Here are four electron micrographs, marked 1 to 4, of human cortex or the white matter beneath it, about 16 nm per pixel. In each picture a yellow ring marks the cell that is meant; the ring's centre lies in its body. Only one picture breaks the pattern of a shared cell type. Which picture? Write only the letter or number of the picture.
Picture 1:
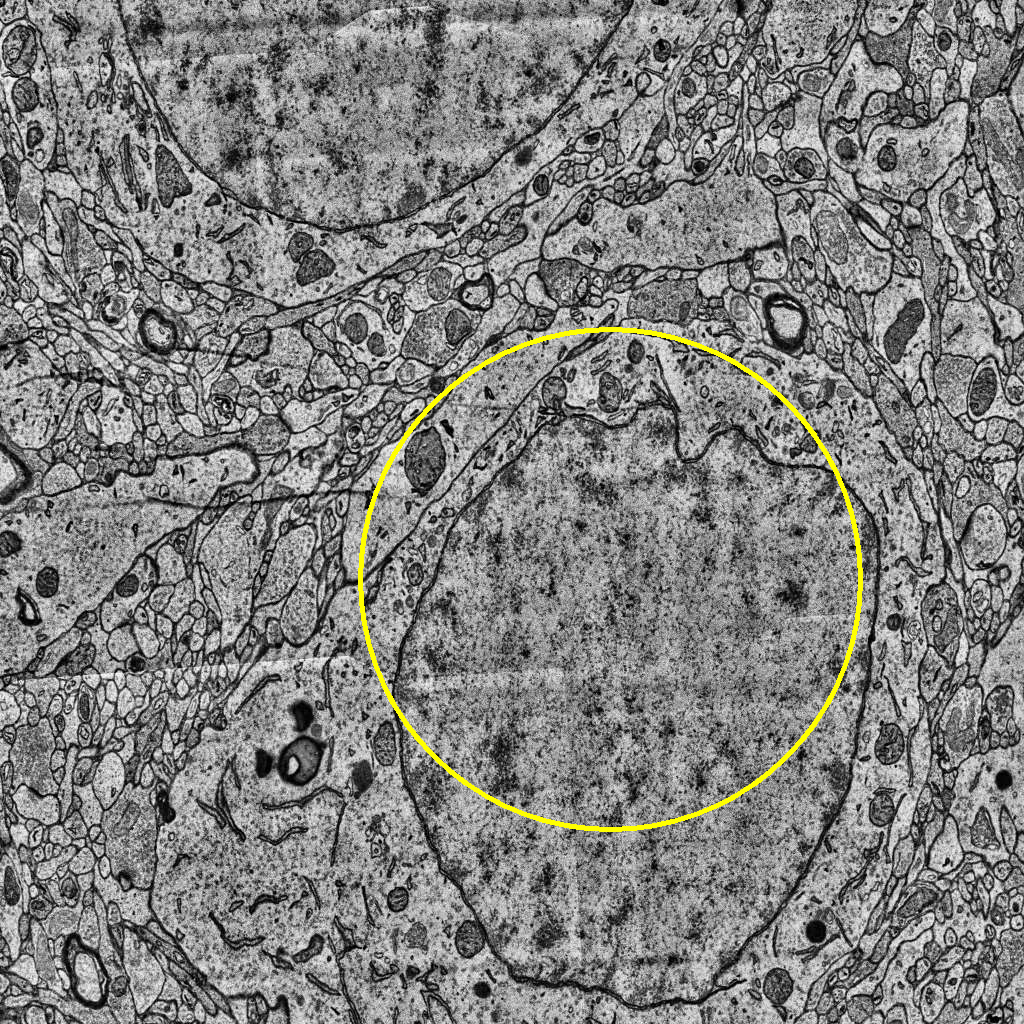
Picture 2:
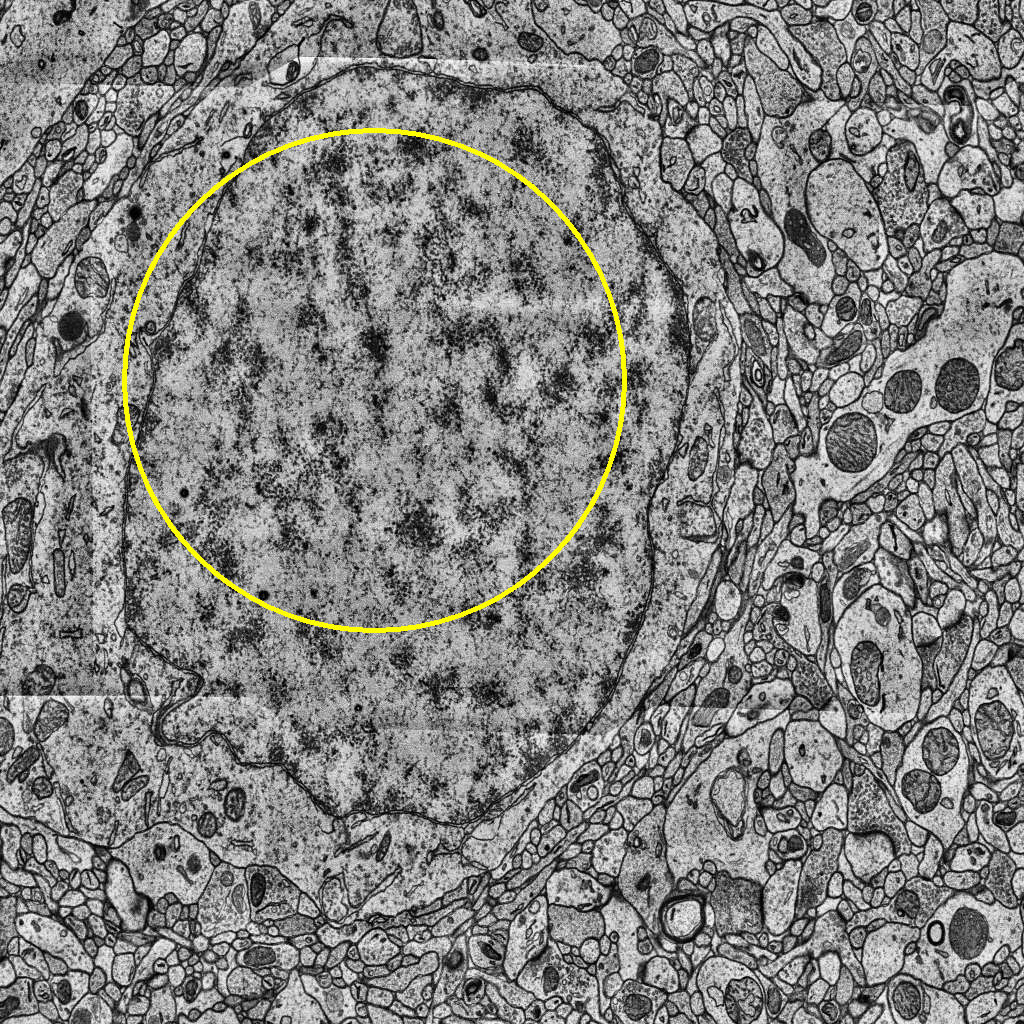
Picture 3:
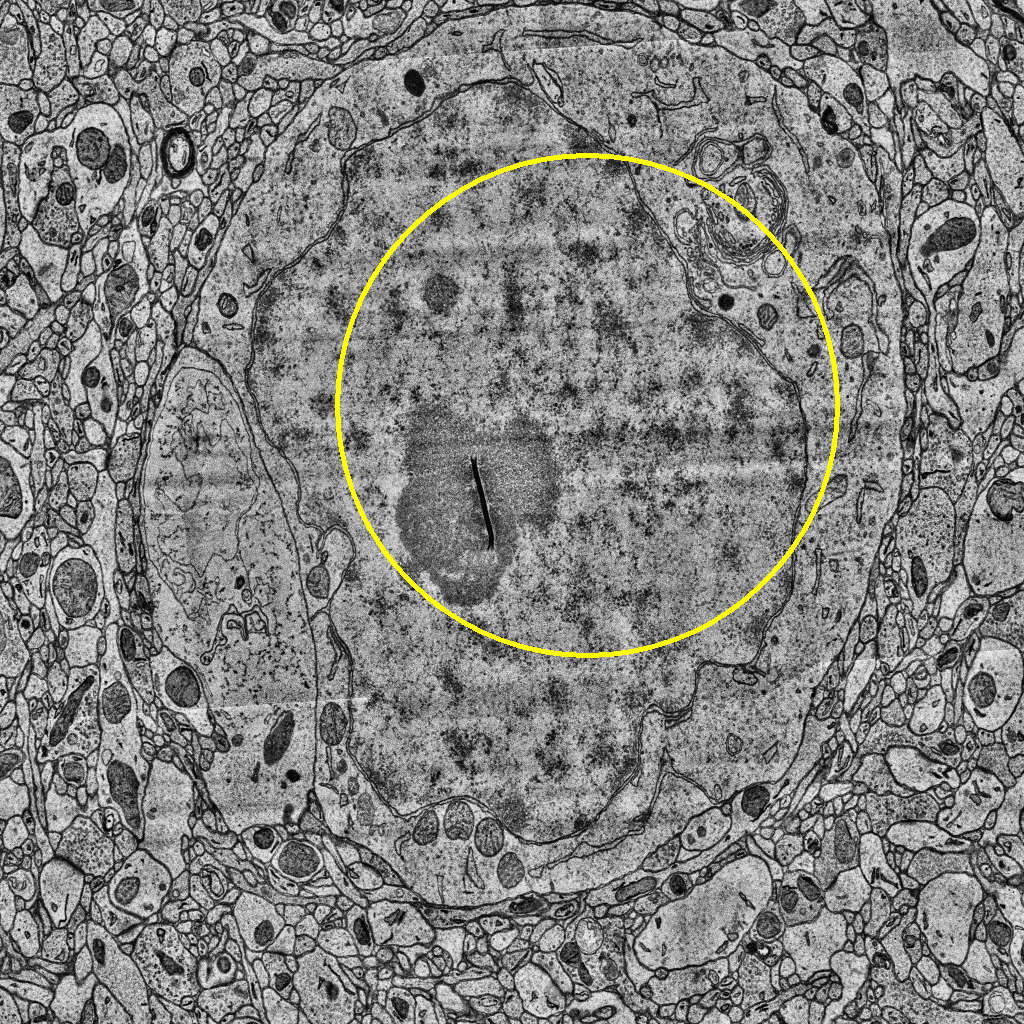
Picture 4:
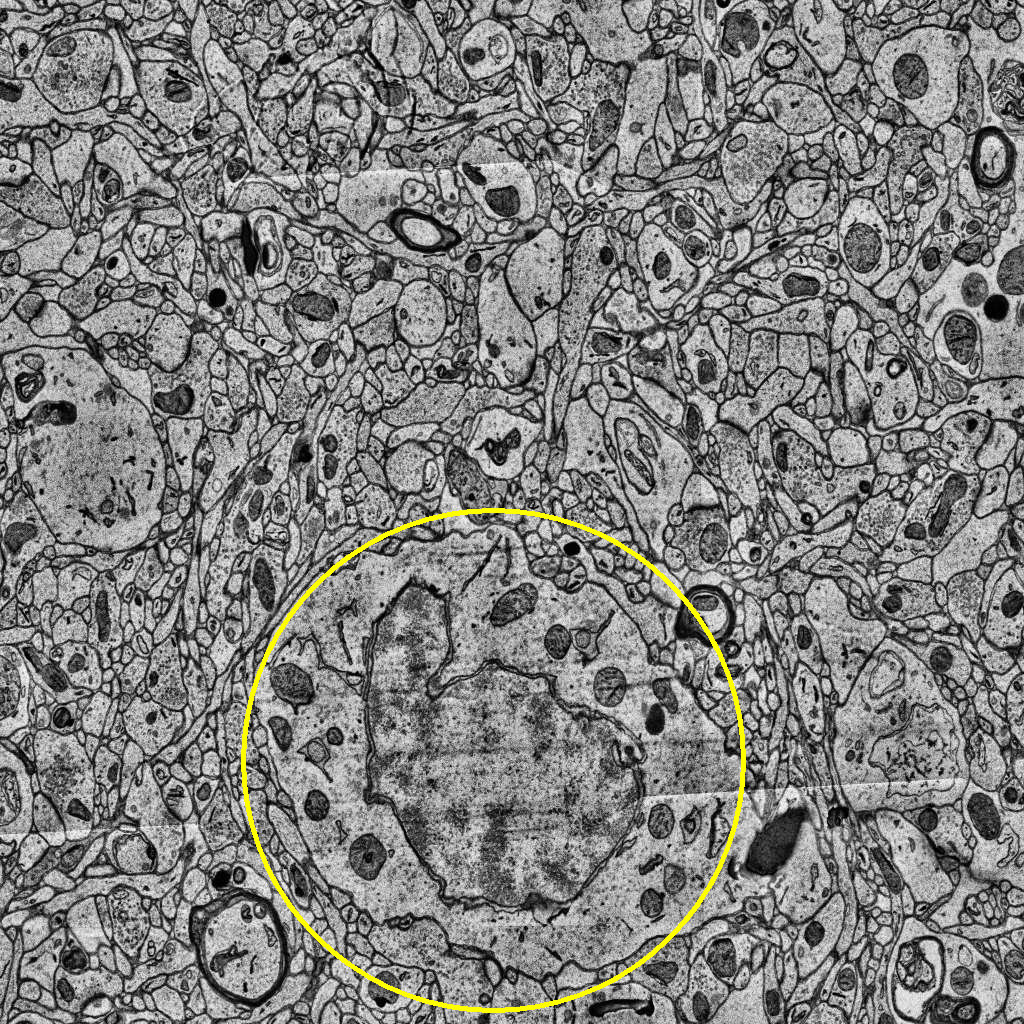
1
